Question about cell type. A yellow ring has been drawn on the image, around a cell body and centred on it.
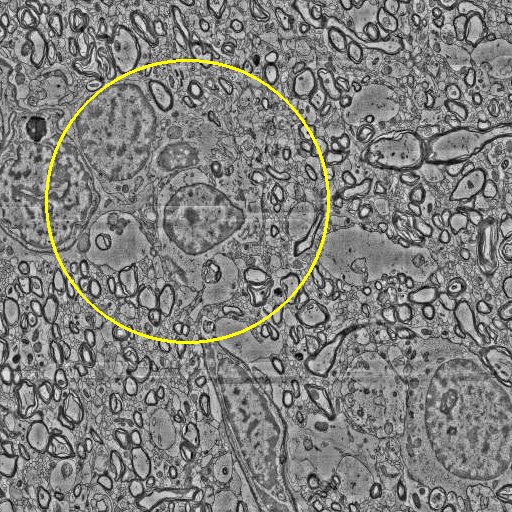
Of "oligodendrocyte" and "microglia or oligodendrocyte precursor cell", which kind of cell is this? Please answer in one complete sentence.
At the centre of the ring lies a microglial cell or oligodendrocyte precursor cell.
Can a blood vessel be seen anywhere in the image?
Yes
